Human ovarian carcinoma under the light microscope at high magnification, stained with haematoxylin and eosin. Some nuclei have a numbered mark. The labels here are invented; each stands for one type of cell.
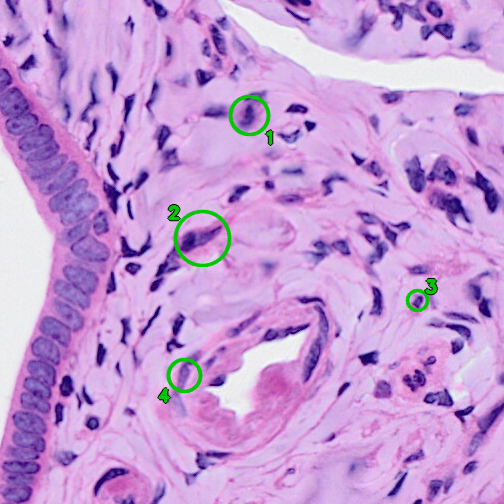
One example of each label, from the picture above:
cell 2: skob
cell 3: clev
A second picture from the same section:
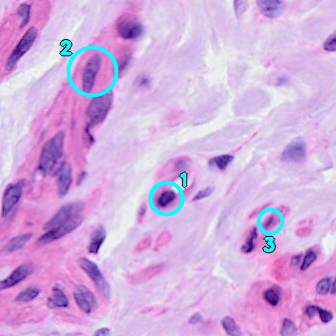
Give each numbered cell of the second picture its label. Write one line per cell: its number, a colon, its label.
1: skob
2: clev
3: clev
